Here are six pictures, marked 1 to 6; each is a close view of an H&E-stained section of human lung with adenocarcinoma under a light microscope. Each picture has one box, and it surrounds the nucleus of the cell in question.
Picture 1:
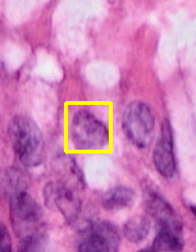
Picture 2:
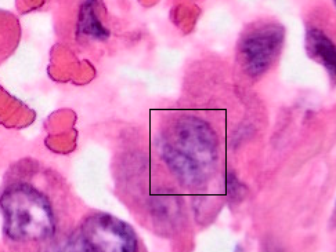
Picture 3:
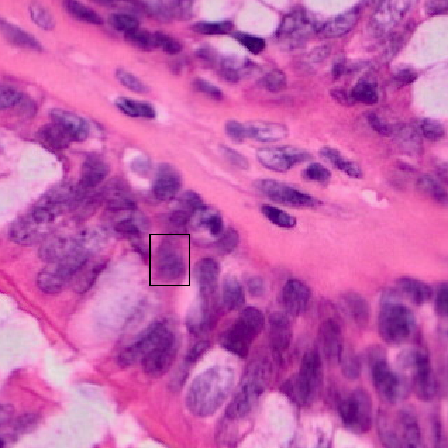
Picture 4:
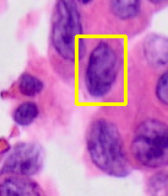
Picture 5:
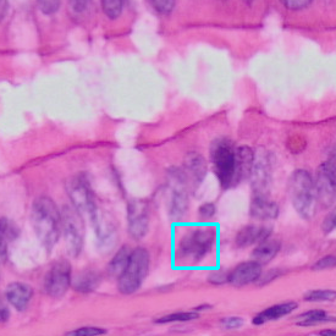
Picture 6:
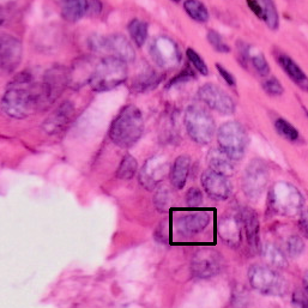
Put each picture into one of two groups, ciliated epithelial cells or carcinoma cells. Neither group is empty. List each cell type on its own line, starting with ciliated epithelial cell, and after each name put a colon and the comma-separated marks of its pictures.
ciliated epithelial cell: 1, 3, 5, 6
carcinoma cell: 2, 4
